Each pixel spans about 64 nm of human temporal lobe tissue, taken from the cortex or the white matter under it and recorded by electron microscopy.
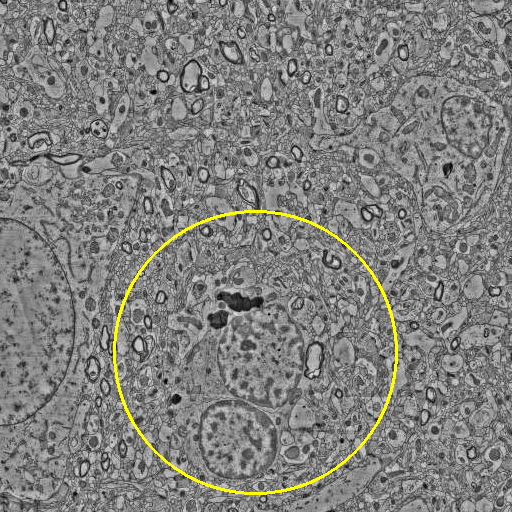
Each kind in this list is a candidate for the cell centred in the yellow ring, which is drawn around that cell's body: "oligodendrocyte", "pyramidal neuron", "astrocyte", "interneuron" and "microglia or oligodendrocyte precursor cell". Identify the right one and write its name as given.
oligodendrocyte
